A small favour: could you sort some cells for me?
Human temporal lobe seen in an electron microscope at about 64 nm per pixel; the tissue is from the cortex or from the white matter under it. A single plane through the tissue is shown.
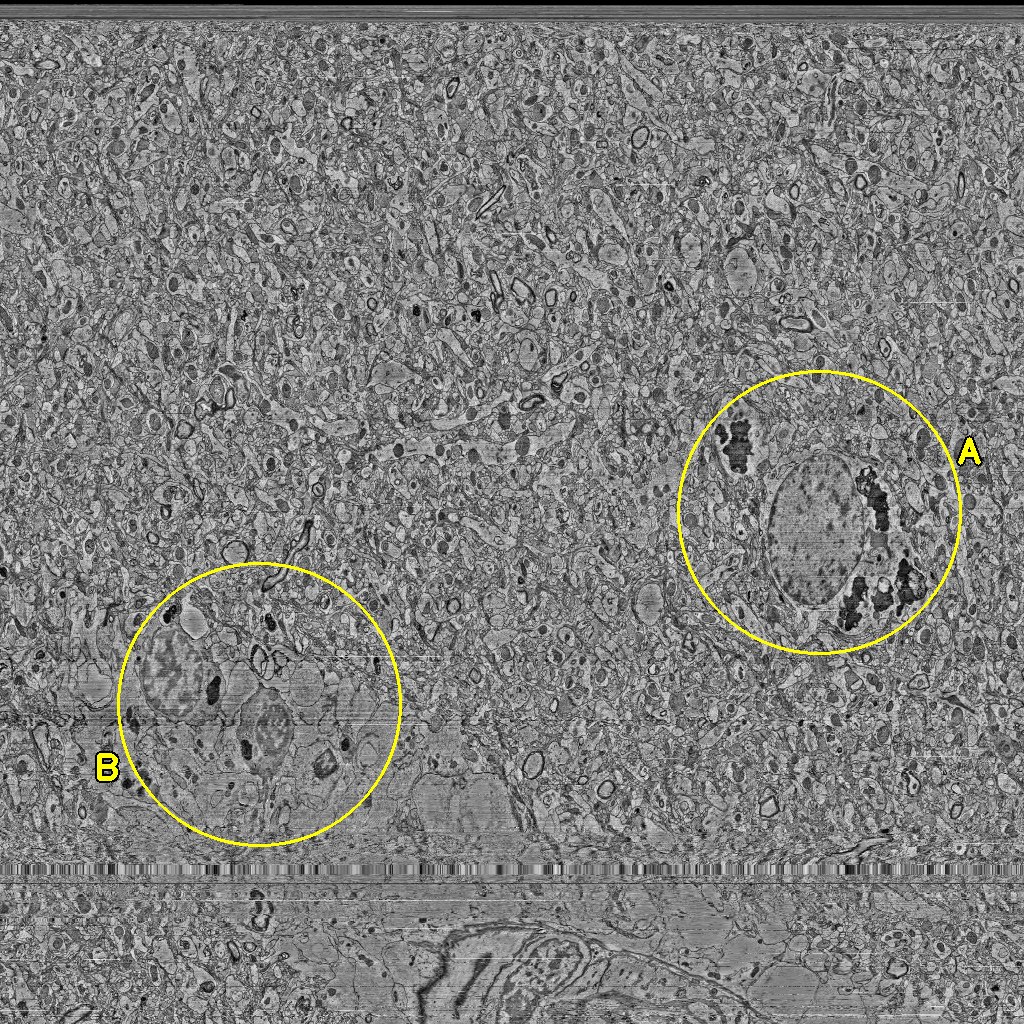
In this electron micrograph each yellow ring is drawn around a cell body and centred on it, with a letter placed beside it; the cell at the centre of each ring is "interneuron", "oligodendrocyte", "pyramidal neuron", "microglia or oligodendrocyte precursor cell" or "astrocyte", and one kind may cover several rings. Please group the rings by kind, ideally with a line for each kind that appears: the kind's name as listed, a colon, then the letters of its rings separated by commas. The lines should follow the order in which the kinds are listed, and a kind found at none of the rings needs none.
oligodendrocyte: B
astrocyte: A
